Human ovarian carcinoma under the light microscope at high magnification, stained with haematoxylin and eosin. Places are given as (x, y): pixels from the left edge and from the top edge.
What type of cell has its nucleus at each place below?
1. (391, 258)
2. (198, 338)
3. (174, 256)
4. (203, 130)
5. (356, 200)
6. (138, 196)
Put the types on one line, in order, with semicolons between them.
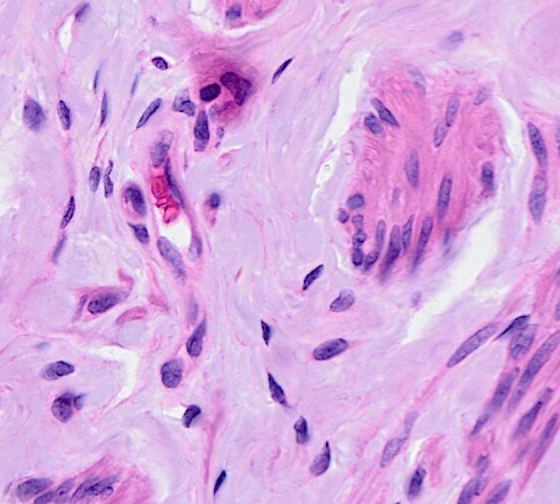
smooth muscle cell; endothelial cell; endothelial cell; endothelial cell; smooth muscle cell; endothelial cell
